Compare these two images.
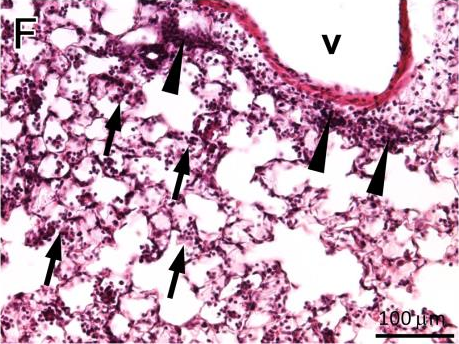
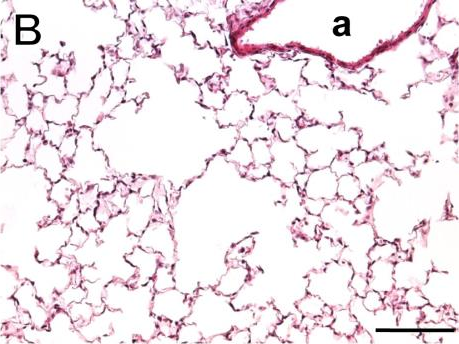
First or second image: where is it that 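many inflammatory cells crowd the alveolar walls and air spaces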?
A: the first image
